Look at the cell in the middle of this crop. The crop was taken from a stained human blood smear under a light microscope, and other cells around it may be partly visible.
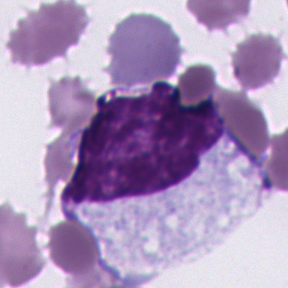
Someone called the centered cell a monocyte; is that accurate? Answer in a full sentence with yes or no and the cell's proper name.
Yes, the central element of the crop is a monocyte.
